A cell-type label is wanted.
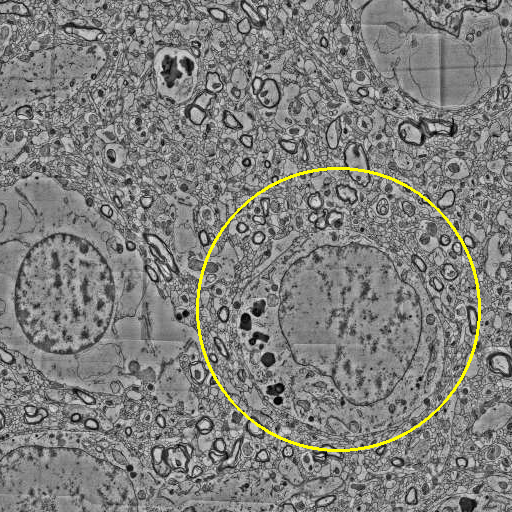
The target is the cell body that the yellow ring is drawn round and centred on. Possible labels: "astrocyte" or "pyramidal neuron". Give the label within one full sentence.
Of the labels offered, the cell in the middle of the yellow ring is a pyramidal neuron.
